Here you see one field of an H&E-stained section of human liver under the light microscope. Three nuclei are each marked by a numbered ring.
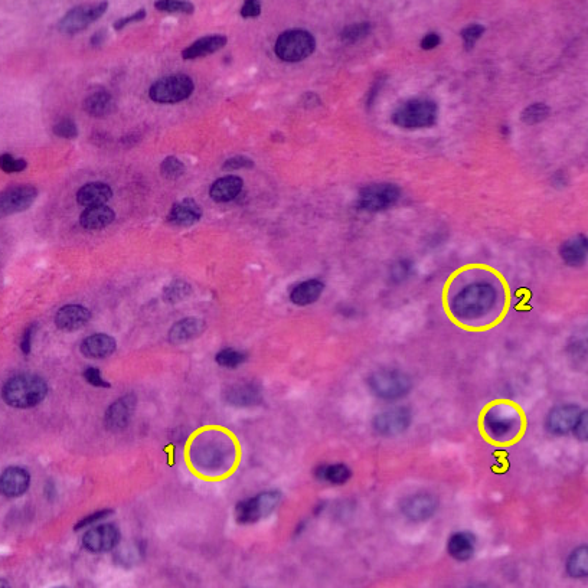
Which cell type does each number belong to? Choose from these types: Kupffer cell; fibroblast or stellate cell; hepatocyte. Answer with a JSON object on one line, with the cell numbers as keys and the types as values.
{"1": "hepatocyte", "2": "hepatocyte", "3": "fibroblast or stellate cell"}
